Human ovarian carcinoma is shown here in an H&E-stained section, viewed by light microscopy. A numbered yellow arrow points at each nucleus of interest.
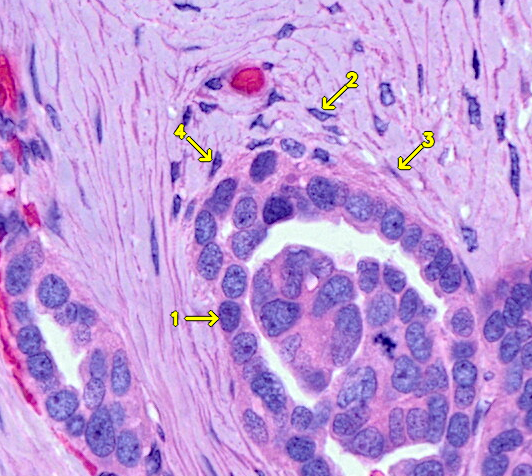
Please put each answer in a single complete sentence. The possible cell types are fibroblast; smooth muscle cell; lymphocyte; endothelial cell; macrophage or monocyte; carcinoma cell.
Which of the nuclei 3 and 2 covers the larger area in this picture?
The larger nucleus is 2, at roughly 2 times the area of 3.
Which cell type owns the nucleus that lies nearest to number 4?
It is a carcinoma cell whose nucleus is nearest to number 4.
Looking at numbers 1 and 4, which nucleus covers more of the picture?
It is nucleus 1, which covers about 3 times the area of nucleus 4.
